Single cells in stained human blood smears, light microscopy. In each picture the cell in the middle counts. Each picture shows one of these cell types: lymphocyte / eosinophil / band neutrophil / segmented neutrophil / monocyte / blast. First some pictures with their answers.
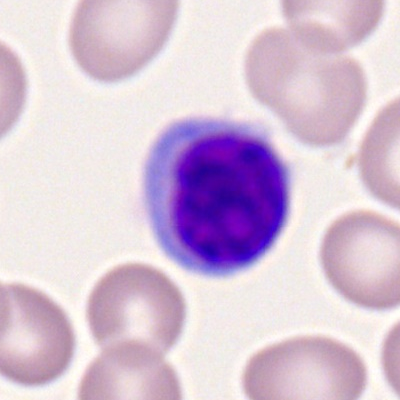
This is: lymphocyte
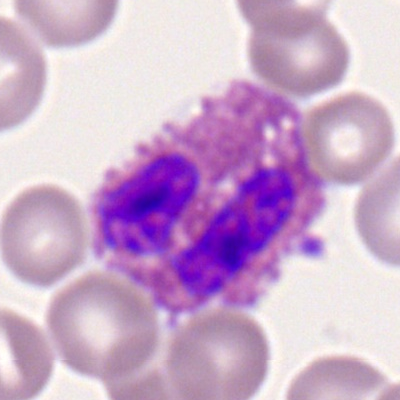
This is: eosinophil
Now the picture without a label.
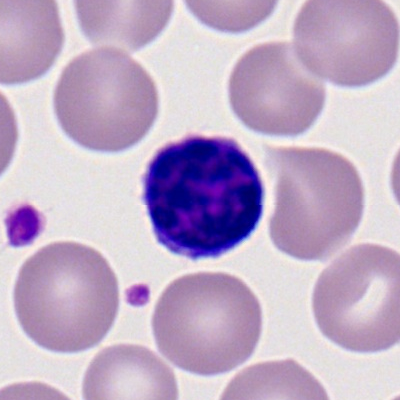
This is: lymphocyte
